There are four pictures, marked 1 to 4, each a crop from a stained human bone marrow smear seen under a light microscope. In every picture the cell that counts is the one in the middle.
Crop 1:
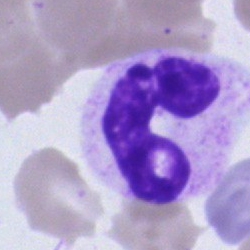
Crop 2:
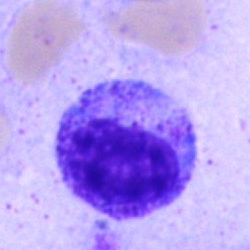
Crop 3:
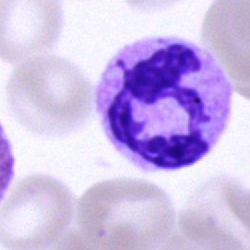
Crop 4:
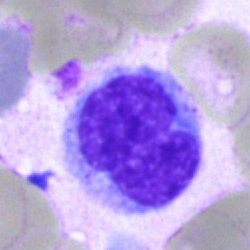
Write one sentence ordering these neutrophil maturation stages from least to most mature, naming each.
The maturation sequence, earliest to latest, reads crop 2 (a myelocyte), crop 4 (a metamyelocyte), crop 1 (a band neutrophil) and crop 3 (a segmented neutrophil).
